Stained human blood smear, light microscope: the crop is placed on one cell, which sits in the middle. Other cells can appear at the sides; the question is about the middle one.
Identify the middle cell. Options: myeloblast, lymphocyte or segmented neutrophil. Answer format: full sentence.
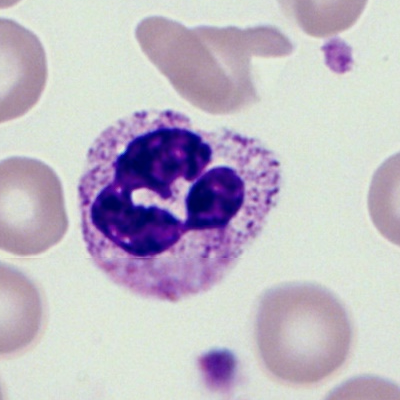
The cell in the middle of the field of view is a segmented neutrophil.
